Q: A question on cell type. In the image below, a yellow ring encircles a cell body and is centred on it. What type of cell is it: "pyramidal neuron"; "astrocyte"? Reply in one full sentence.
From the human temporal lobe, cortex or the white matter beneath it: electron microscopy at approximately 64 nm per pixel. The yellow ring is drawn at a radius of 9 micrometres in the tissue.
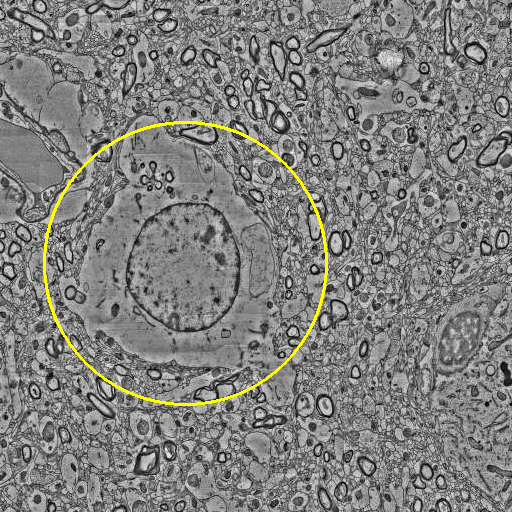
It is an astrocyte whose cell body sits at the centre of the yellow ring in the image.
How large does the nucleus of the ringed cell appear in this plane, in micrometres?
About 8 by 7 micrometres in this plane.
